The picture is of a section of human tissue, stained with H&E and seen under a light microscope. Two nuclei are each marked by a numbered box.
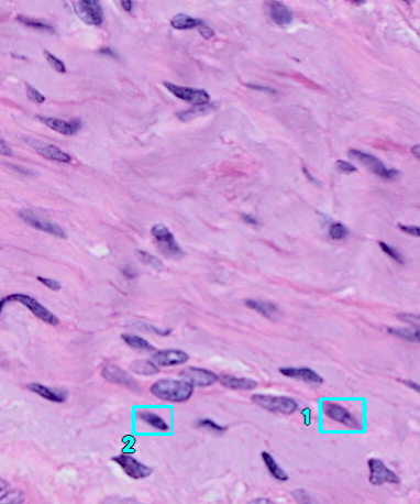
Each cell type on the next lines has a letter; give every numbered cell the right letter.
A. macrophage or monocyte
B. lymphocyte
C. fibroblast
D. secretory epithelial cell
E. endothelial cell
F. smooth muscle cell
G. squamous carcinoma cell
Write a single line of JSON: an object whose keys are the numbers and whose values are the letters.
{"1": "E", "2": "C"}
